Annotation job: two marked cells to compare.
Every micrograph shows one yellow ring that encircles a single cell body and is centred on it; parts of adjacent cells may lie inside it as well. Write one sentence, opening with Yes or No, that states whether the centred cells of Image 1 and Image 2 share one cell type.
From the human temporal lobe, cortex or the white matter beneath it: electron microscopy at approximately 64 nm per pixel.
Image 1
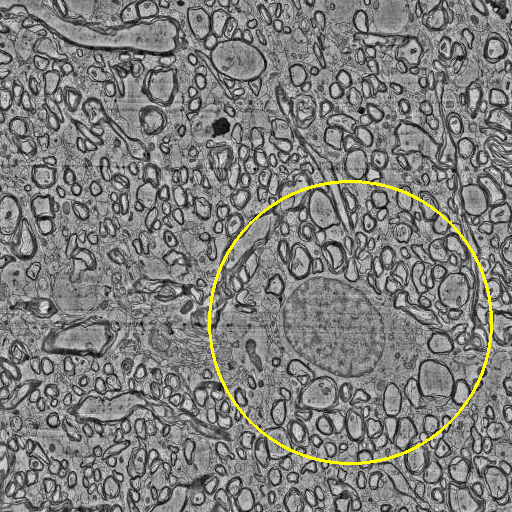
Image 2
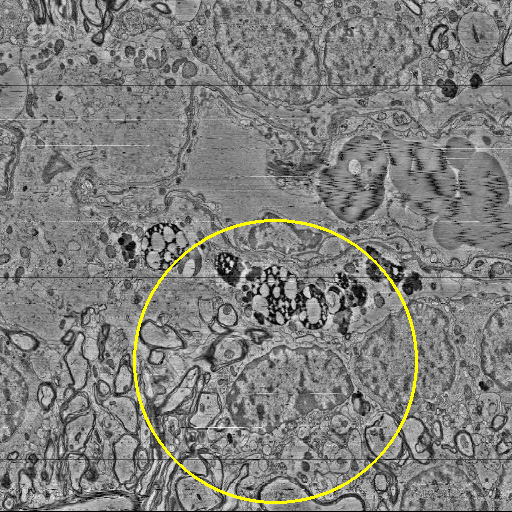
No, the cell centred in Image 1 and the cell centred in Image 2 are of two types.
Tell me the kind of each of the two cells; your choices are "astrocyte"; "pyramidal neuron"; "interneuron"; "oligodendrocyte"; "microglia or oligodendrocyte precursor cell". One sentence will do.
The ringed cell is an oligodendrocyte in the first picture and a microglial cell or oligodendrocyte precursor cell in the second picture.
